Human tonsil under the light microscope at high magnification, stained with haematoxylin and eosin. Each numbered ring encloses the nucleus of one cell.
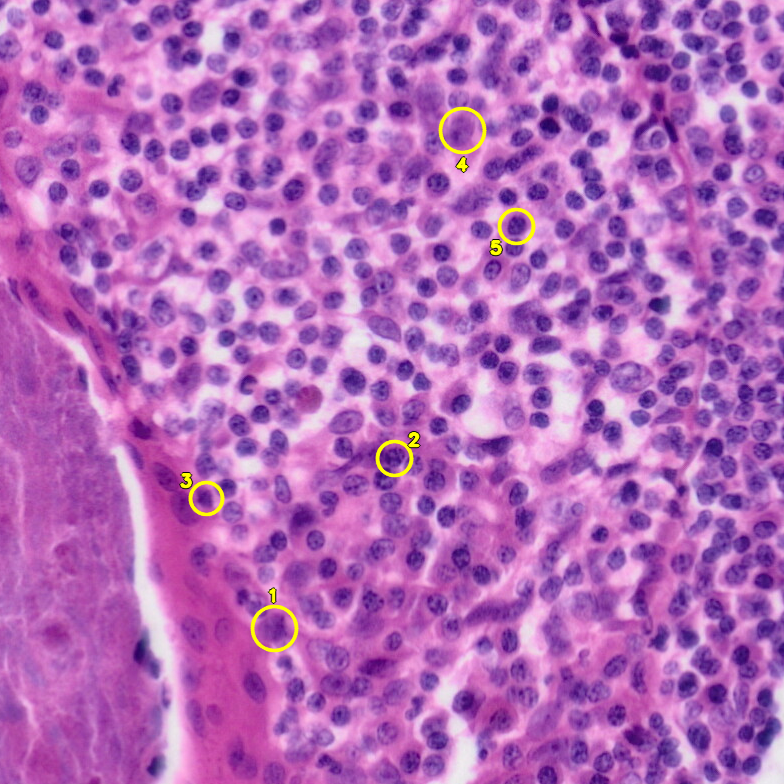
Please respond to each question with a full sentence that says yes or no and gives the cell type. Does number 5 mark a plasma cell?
Yes, the number 5 belongs to a plasma cell.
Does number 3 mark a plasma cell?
No, cell number 3 is a squamous epithelial cell; it is not a plasma cell.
